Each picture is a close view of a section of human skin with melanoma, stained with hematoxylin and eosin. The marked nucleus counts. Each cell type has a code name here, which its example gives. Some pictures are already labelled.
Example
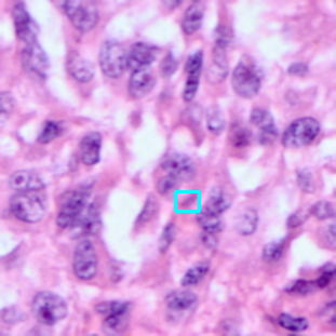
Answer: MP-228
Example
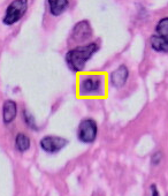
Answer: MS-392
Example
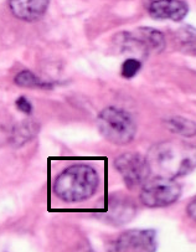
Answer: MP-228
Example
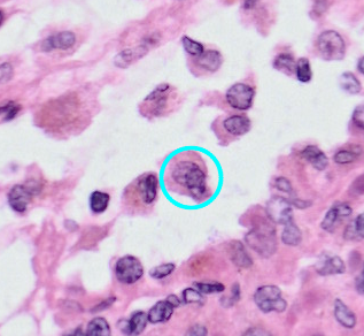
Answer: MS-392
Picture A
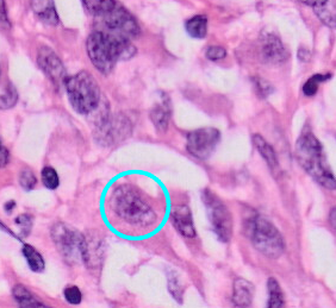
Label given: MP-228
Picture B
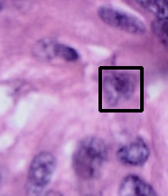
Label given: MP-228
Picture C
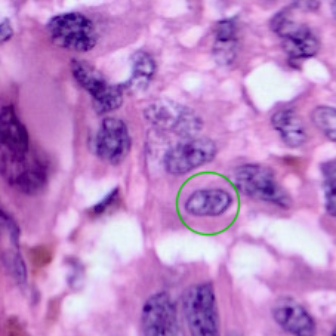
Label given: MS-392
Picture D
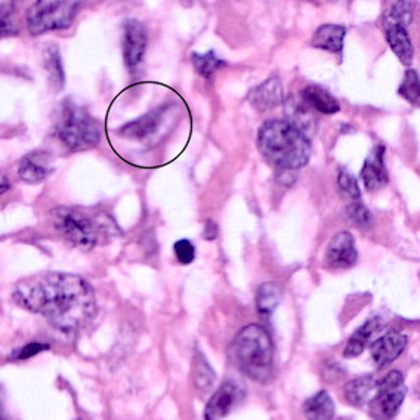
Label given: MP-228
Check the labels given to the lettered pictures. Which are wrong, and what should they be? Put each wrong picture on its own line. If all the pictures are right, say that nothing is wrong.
Wrong: C (MS-392); correct: MP-228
